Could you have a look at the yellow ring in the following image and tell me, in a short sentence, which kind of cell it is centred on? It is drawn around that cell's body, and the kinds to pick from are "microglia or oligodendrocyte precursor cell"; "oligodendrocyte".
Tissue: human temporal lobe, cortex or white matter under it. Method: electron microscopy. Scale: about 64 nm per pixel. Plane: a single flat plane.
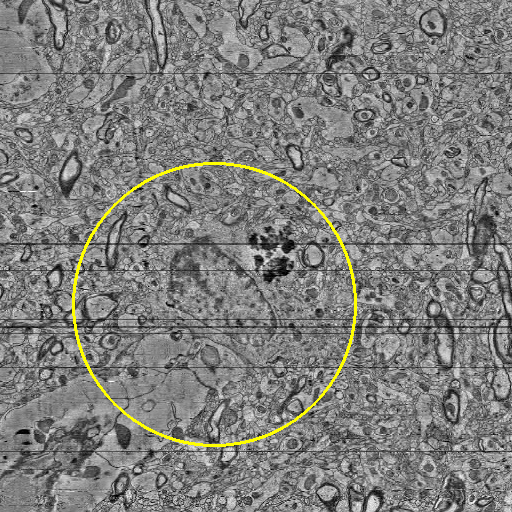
The ring is centred on the body of an oligodendrocyte.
